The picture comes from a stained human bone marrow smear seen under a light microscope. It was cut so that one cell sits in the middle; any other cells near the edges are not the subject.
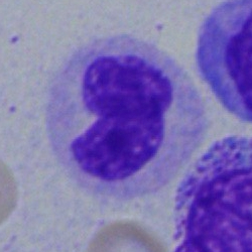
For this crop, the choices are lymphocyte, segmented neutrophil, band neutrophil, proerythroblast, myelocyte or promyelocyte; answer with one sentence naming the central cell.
The identification for the central cell is a band neutrophil.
